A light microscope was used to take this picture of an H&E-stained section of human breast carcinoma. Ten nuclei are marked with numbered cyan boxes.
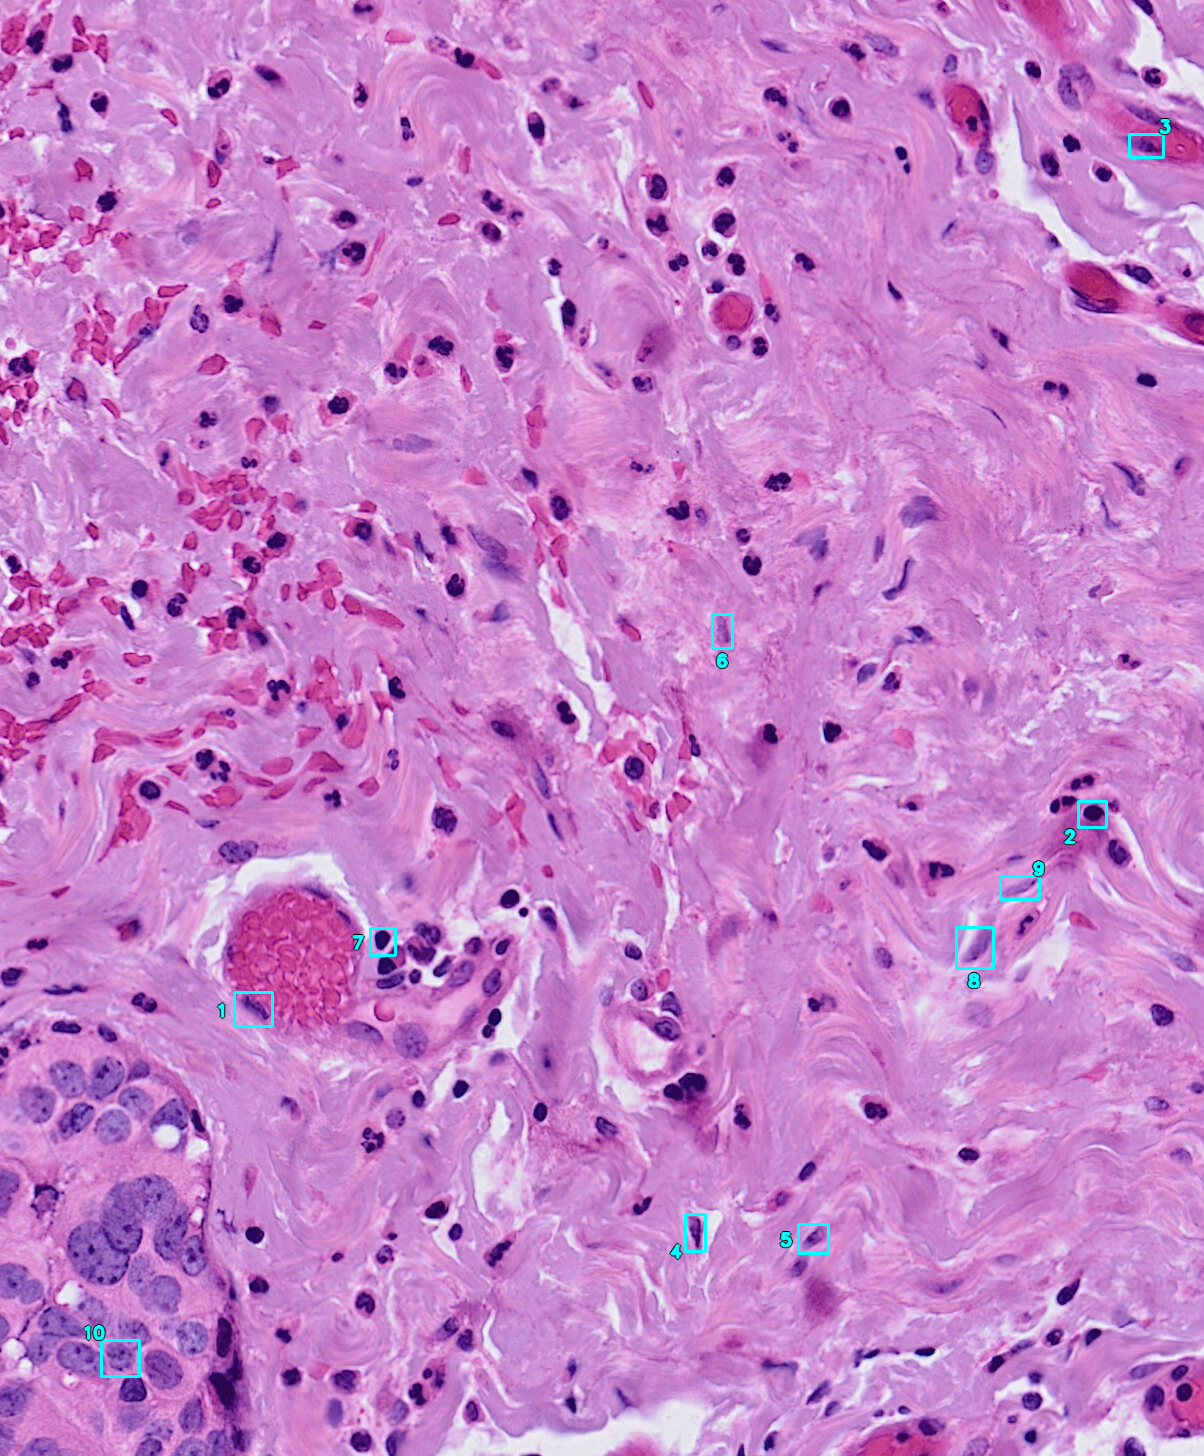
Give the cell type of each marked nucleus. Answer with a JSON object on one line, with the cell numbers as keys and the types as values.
{"1": "endothelial cell", "2": "lymphocyte", "3": "endothelial cell", "4": "fibroblast", "5": "fibroblast", "6": "fibroblast", "7": "lymphocyte", "8": "fibroblast", "9": "fibroblast", "10": "carcinoma cell"}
